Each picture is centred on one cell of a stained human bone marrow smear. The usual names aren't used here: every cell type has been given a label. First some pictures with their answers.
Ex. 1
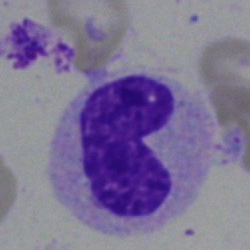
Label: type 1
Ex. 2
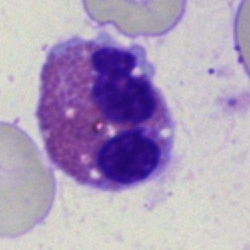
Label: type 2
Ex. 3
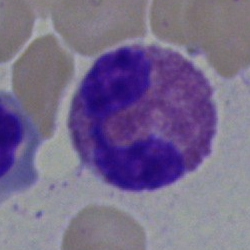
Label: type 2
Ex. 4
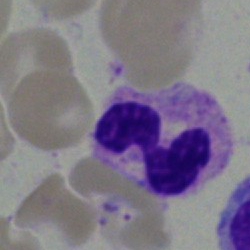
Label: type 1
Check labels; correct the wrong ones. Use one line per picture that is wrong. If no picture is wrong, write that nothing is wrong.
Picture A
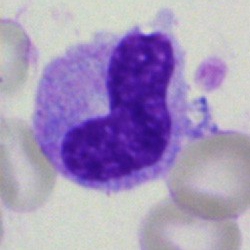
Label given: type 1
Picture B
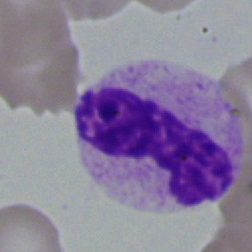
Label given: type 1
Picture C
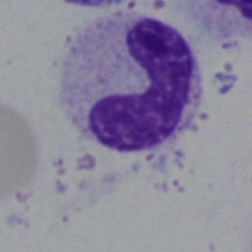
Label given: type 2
C: type 1, not type 2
